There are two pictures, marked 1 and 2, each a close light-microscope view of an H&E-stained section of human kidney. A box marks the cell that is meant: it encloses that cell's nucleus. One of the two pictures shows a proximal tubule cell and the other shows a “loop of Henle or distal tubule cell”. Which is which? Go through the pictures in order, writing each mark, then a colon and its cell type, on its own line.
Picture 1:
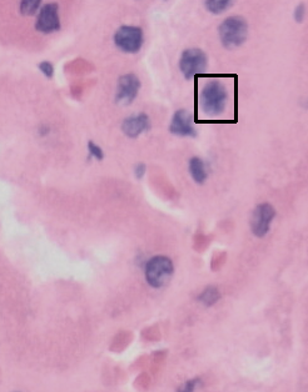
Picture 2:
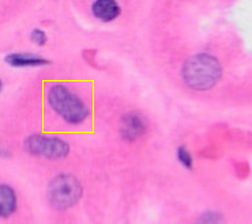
1: loop of Henle or distal tubule cell
2: proximal tubule cell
